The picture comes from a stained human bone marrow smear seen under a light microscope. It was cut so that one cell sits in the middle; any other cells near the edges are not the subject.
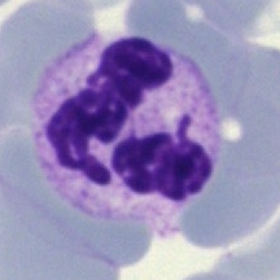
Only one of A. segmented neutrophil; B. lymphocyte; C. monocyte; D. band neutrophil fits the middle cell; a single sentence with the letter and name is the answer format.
In the middle of the crop is a segmented neutrophil; option A is therefore correct.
